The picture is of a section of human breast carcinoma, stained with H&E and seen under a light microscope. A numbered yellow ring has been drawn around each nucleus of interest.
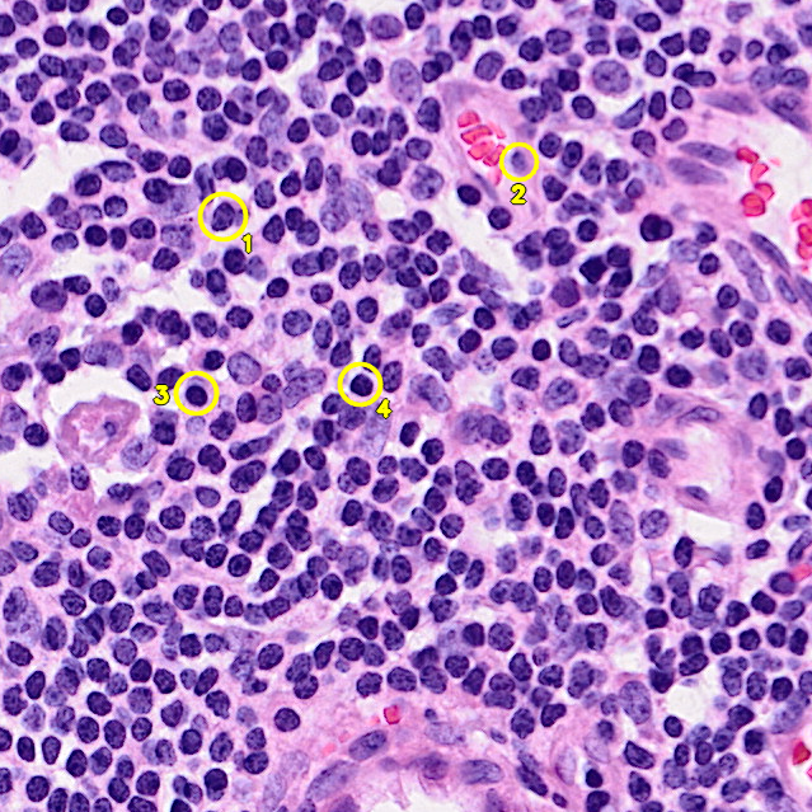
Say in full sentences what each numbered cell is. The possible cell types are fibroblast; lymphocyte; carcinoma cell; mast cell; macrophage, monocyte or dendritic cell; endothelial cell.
Cells 1, 3 and 4 are lymphocytes. Cell 2 is an endothelial cell.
